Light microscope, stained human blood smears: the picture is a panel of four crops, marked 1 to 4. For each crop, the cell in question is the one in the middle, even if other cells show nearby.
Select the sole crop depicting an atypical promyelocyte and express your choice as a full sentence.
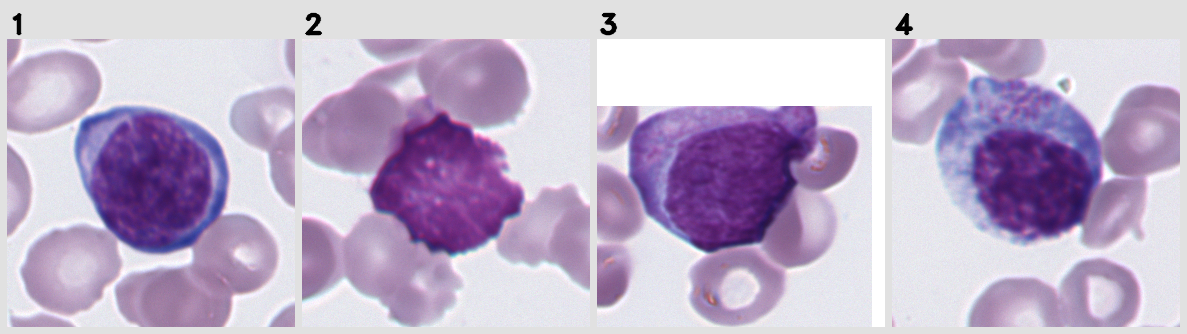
Of all the crops, crop 3 is the one showing an atypical promyelocyte.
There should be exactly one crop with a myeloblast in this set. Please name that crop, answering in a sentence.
Crop 1 is the one to choose: it shows a myeloblast.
